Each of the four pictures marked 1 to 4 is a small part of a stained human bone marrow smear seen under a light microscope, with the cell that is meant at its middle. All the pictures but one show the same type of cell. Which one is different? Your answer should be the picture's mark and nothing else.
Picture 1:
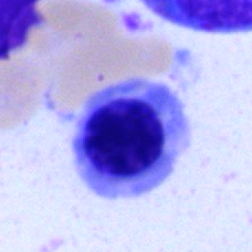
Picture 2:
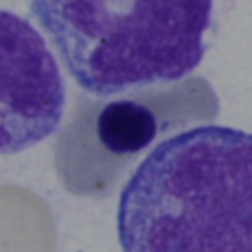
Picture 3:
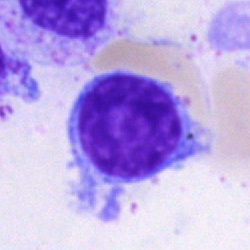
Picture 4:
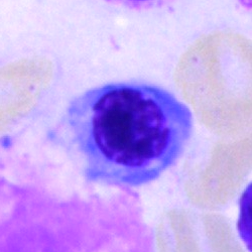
3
